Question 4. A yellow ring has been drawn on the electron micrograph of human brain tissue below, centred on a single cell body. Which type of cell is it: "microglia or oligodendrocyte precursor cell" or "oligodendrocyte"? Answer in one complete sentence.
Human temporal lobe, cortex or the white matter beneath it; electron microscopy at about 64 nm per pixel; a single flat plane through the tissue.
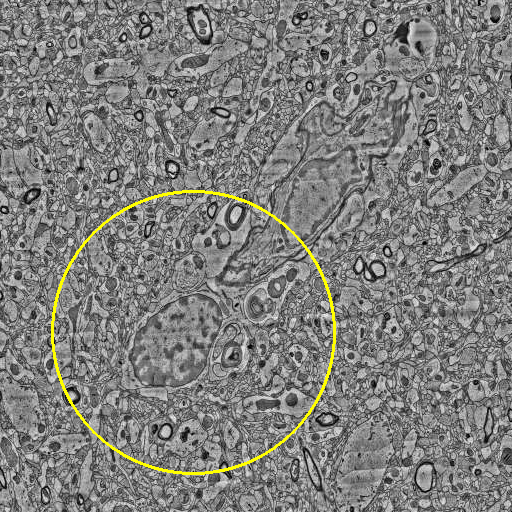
This cell body belongs to a microglial cell or oligodendrocyte precursor cell.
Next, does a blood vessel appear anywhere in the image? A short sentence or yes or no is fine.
Yes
